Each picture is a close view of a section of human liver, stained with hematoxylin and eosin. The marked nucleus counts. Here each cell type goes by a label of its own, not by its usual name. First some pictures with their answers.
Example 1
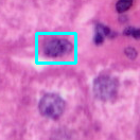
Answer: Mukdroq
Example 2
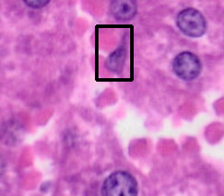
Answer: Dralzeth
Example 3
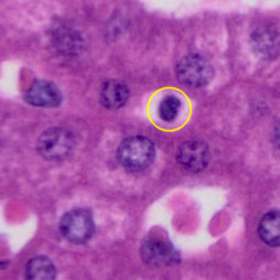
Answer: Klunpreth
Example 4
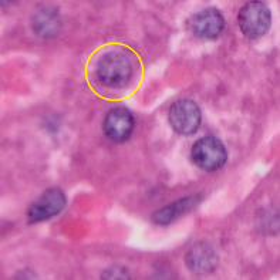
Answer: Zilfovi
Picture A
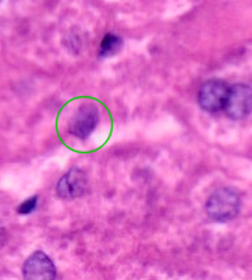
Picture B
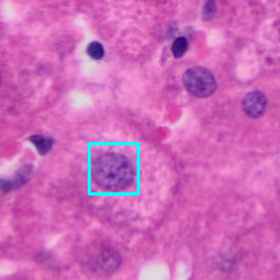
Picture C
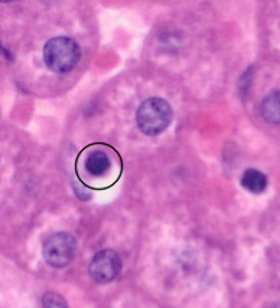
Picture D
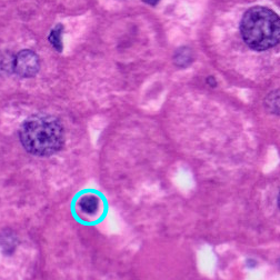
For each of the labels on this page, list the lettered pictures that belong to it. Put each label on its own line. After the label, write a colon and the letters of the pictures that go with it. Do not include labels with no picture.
Dralzeth: A
Klunpreth: C, D
Zilfovi: B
